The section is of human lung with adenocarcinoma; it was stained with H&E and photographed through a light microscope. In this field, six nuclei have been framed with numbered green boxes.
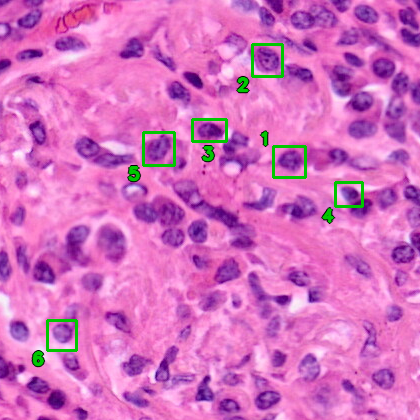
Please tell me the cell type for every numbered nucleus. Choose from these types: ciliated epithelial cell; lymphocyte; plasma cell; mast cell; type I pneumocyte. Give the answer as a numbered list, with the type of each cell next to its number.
1. plasma cell
2. plasma cell
3. plasma cell
4. lymphocyte
5. plasma cell
6. lymphocyte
